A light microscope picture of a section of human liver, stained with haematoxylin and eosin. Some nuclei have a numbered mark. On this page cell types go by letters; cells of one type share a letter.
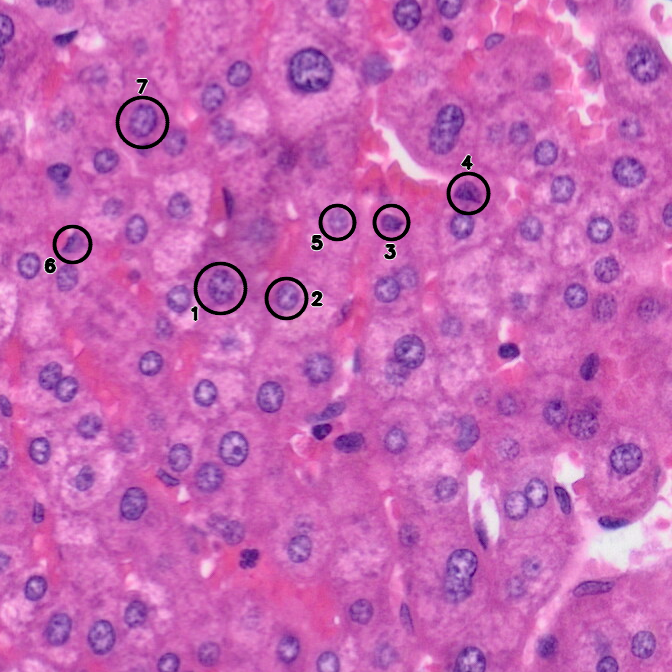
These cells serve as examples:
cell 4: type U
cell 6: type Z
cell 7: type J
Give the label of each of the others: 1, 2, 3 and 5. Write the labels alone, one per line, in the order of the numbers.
type J
type J
type U
type J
